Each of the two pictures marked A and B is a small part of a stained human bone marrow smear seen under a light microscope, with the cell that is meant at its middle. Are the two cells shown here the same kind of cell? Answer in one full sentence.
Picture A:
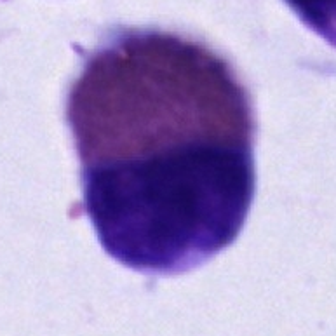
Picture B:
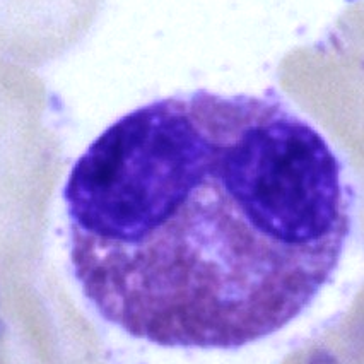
Yes, the two pictures both show eosinophils.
